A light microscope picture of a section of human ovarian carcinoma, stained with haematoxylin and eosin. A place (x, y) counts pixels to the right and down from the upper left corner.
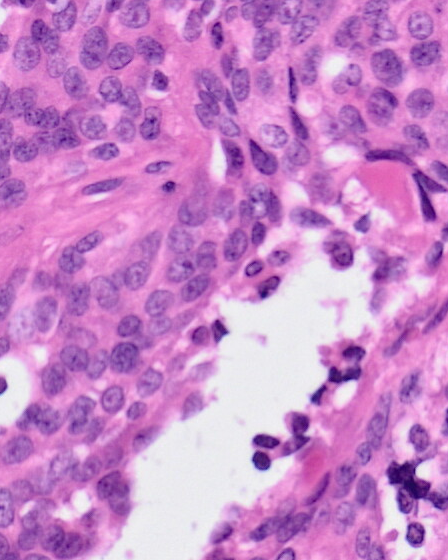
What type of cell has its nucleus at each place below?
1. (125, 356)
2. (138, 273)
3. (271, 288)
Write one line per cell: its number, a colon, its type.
1: carcinoma cell
2: carcinoma cell
3: macrophage or monocyte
